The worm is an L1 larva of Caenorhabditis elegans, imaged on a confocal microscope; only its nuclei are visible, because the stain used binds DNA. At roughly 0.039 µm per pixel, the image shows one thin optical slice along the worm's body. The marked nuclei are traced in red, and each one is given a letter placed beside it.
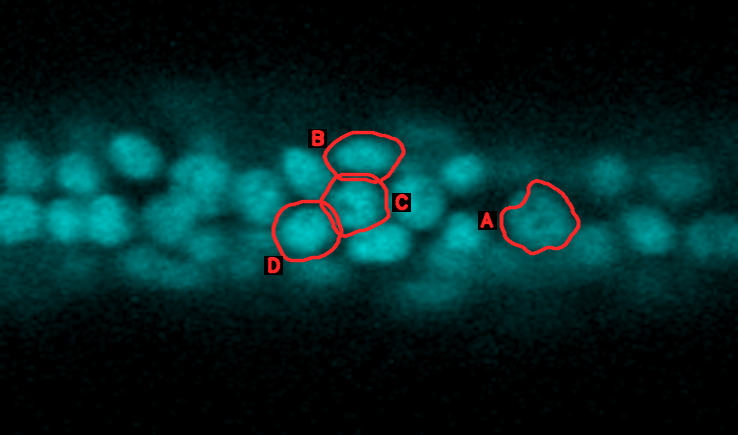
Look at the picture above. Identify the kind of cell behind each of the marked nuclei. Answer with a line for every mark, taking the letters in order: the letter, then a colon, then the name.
A: seam cell
B: glial cell (sheath or socket)
C: neuron
D: neuron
